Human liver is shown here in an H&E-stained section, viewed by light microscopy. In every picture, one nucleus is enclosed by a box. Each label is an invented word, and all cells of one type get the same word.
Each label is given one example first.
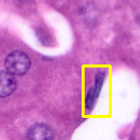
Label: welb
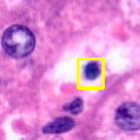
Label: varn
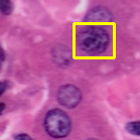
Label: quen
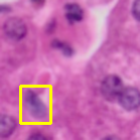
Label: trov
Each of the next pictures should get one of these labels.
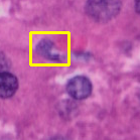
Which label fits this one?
trov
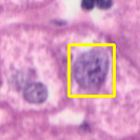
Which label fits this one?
quen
